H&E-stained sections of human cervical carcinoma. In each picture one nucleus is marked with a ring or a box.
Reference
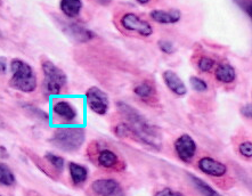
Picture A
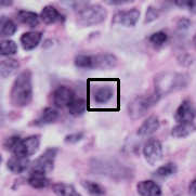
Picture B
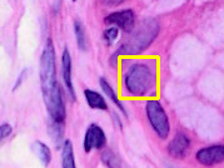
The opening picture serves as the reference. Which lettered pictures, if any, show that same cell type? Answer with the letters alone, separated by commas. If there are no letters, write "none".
A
